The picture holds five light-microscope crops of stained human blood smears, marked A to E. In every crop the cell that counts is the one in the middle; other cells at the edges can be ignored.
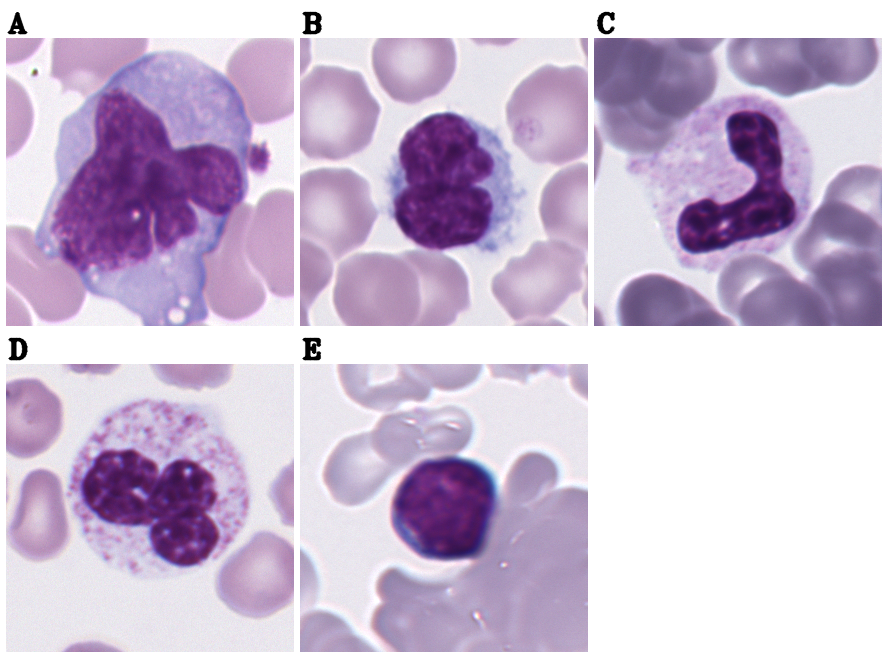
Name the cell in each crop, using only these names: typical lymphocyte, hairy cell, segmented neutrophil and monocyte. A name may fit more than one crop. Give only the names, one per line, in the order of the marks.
monocyte
hairy cell
segmented neutrophil
segmented neutrophil
typical lymphocyte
